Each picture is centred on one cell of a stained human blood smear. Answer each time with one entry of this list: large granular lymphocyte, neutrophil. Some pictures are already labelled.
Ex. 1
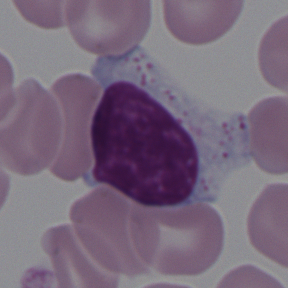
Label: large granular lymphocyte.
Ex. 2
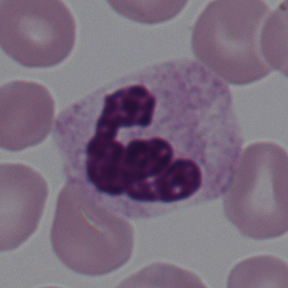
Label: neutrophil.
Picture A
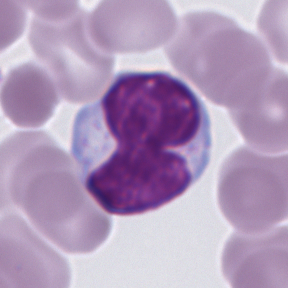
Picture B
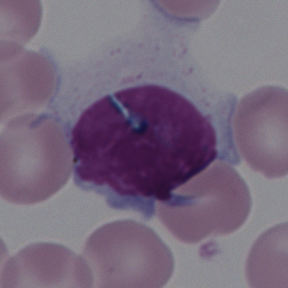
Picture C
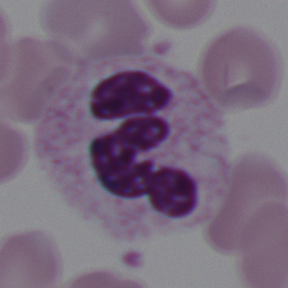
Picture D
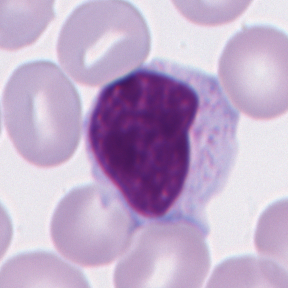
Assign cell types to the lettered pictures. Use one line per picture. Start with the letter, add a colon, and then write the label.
A: large granular lymphocyte.
B: large granular lymphocyte.
C: neutrophil.
D: large granular lymphocyte.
